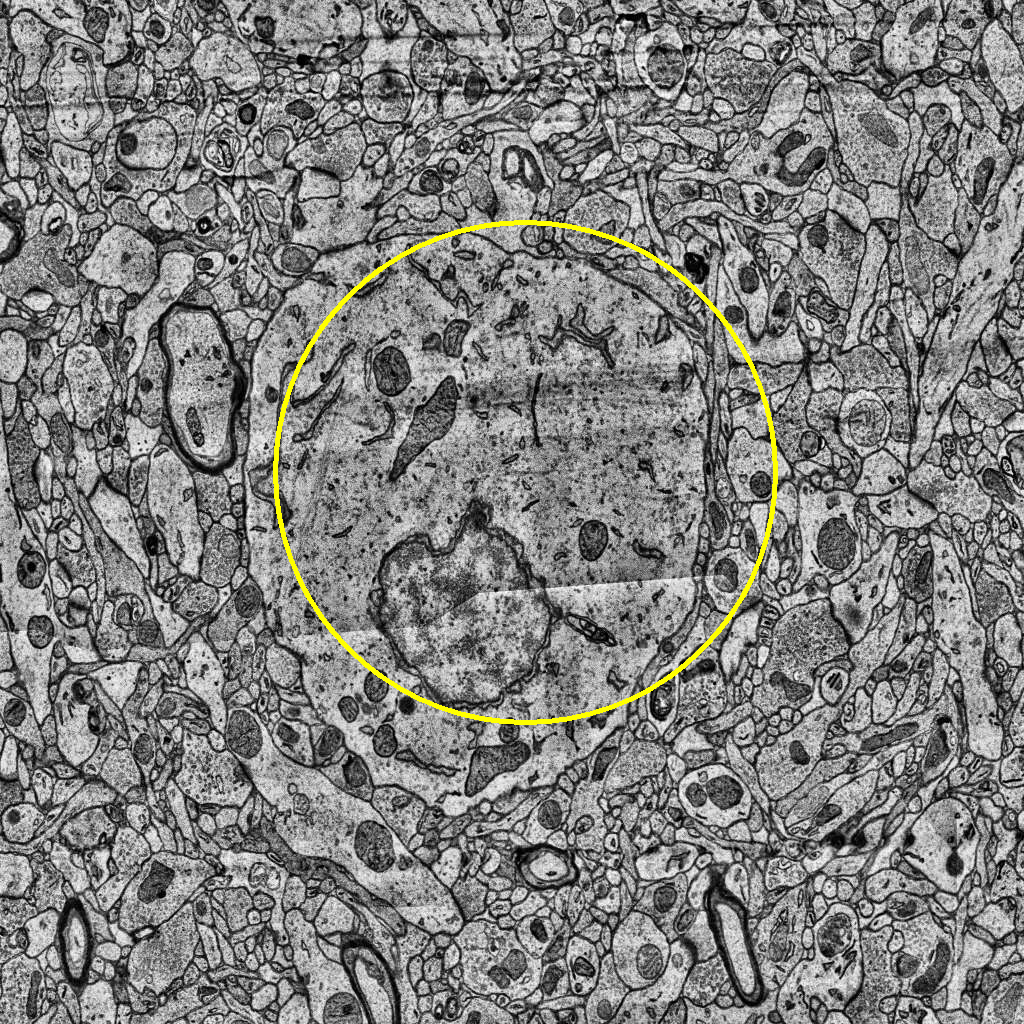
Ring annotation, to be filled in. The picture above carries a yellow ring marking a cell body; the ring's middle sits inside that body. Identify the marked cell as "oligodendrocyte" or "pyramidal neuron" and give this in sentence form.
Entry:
The cell at the middle of the ring is a pyramidal neuron.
